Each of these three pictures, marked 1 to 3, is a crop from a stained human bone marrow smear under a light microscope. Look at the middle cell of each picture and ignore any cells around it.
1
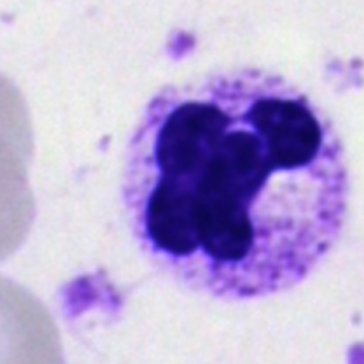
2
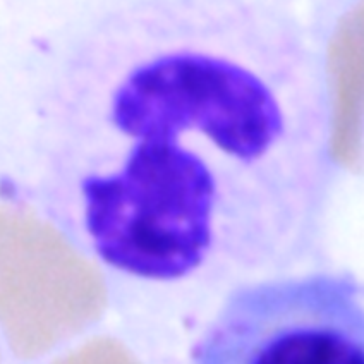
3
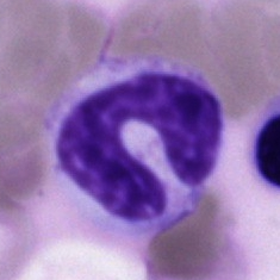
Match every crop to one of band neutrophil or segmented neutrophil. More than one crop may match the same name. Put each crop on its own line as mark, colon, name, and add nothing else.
1: segmented neutrophil
2: segmented neutrophil
3: band neutrophil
